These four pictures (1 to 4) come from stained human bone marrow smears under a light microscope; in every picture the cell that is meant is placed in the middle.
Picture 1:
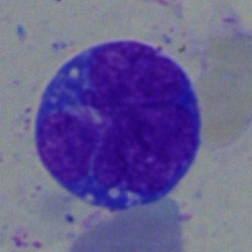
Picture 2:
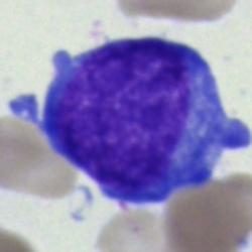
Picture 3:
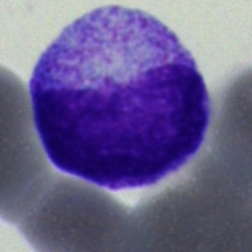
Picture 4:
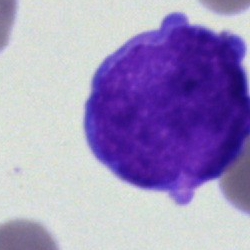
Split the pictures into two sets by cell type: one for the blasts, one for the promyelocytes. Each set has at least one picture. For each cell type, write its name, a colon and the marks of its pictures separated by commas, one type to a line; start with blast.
blast: 1, 2, 4
promyelocyte: 3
